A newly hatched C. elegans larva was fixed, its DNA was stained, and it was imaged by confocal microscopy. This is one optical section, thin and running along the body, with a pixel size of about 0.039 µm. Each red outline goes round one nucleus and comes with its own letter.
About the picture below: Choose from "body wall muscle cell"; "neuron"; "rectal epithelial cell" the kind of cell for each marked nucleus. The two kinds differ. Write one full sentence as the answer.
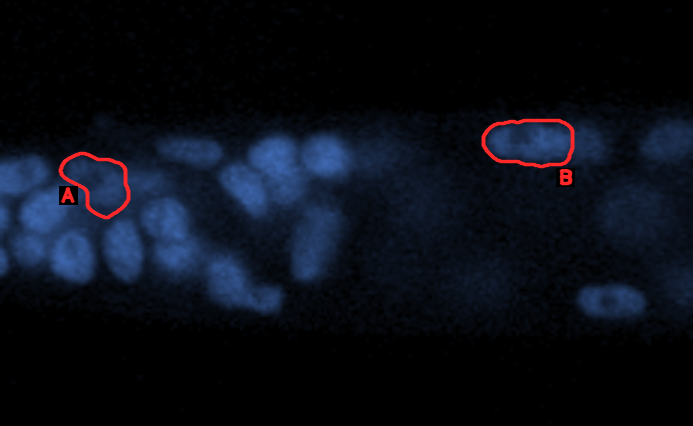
One is from a rectal epithelial cell, namely A, and the other, B, is from a body wall muscle cell.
